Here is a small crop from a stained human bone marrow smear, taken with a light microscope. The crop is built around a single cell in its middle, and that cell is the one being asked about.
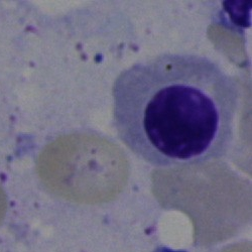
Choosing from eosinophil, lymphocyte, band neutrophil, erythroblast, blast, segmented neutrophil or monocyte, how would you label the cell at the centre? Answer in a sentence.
The cell positioned in the middle of the field is an erythroblast.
